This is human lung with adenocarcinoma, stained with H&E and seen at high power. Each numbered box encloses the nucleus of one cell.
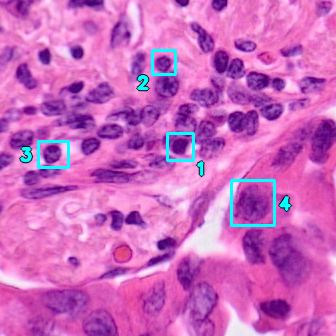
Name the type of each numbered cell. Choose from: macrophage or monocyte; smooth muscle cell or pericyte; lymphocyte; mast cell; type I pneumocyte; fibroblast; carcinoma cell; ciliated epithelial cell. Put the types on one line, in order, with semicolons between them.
lymphocyte; lymphocyte; lymphocyte; carcinoma cell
